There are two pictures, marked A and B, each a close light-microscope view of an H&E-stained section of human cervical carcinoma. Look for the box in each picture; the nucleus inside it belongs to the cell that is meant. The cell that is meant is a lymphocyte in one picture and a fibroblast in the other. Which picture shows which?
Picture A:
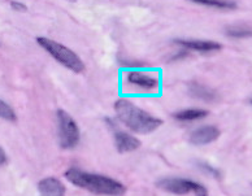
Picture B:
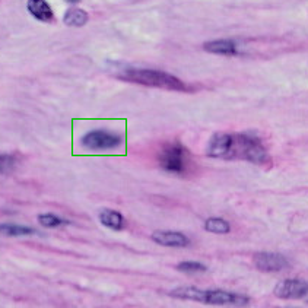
A: fibroblast
B: lymphocyte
